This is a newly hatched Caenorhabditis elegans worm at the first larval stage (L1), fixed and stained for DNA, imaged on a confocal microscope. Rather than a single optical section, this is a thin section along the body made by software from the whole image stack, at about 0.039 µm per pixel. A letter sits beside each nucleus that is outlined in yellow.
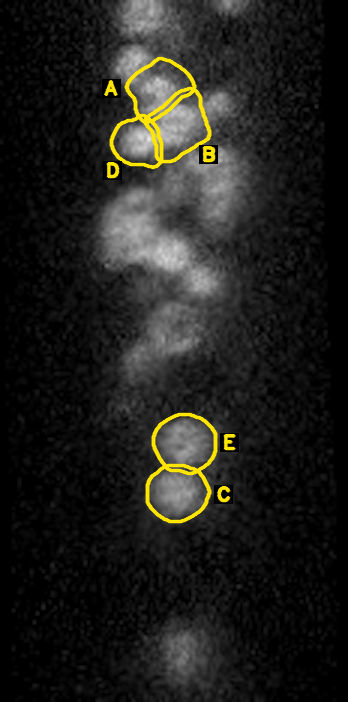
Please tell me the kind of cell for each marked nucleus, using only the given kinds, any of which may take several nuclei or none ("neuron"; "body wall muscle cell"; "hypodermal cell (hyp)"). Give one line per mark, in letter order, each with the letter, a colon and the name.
A: neuron
B: neuron
C: hypodermal cell (hyp)
D: neuron
E: hypodermal cell (hyp)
